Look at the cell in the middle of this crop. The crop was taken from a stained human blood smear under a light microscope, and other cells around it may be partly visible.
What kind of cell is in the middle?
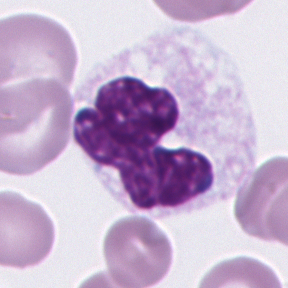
segmented neutrophil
